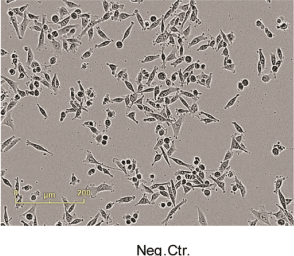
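These are cultured cells growing attached to the bottom of a dish, seen by phase contrast as grey shapes with dark outlines on a pale background. Most cells are elongated or spindle-shaped, often with tapering ends, and others are irregular and polygonal. They lie scattered in loose groups with open spaces of bare dish between them, not yet forming a closed sheet. Within the flat cells a darker central region where the nucleus lies can be made out in many of them.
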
